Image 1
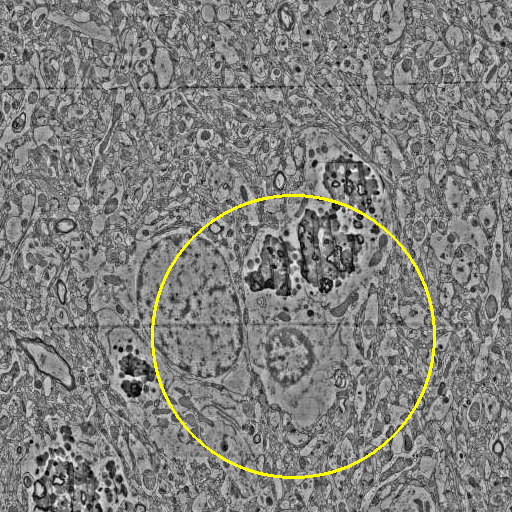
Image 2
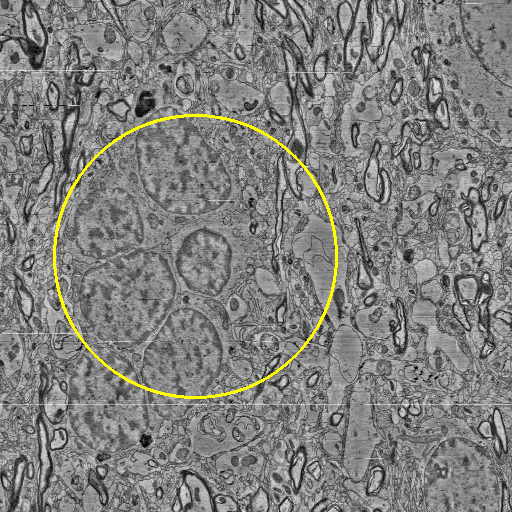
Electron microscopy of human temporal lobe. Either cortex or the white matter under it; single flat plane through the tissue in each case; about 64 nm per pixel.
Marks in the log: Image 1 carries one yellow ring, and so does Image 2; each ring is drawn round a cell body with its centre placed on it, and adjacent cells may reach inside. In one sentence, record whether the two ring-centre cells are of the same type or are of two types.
The two cells at the ring centres, one in each image, are of two types.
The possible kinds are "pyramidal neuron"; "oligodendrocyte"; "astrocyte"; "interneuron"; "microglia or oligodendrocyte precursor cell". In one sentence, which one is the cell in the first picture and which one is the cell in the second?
The cell ringed in the second picture is an oligodendrocyte, whereas the one ringed in the first is an astrocyte.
